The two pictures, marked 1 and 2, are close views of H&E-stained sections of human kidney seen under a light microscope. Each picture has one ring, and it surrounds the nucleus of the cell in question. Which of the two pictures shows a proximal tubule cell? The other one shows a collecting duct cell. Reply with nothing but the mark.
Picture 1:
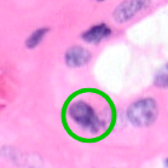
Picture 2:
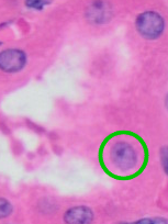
2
